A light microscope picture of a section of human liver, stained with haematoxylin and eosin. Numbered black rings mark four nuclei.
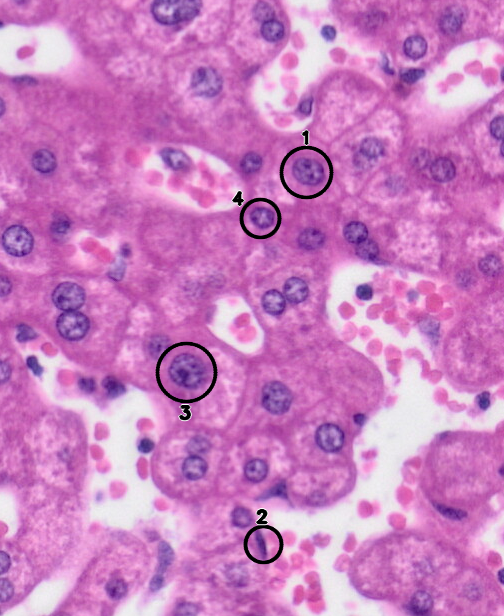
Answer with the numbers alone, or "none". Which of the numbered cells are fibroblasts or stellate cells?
2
